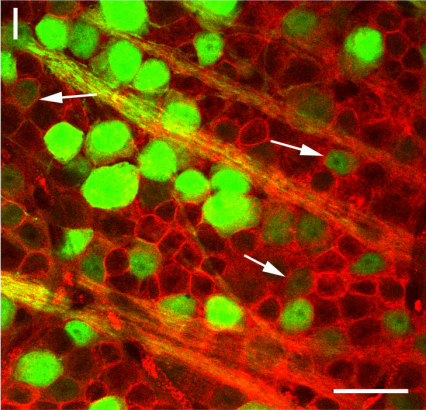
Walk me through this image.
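Flat view of the ganglion cell layer showing closely packed cell bodies of various sizes crossed by diagonal bundles of fibres. Large, brightly green somata lie among many smaller cells outlined by red membrane staining; some of the small cells are faintly green inside their red rim.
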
